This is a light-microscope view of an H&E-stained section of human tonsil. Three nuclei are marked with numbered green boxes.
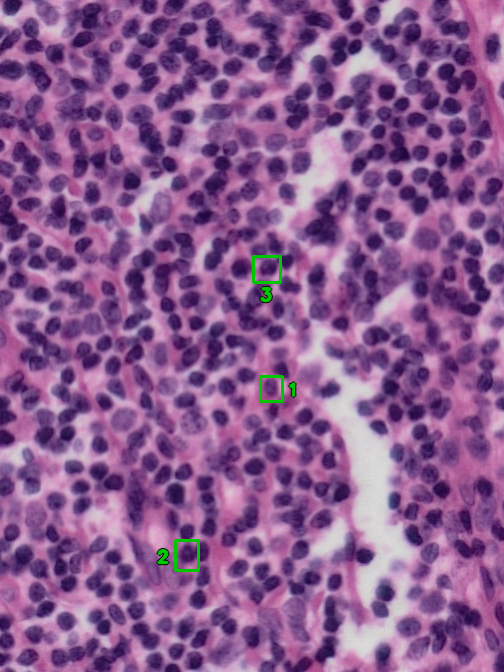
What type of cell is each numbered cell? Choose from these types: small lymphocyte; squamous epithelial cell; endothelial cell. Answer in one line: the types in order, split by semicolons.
endothelial cell; endothelial cell; small lymphocyte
